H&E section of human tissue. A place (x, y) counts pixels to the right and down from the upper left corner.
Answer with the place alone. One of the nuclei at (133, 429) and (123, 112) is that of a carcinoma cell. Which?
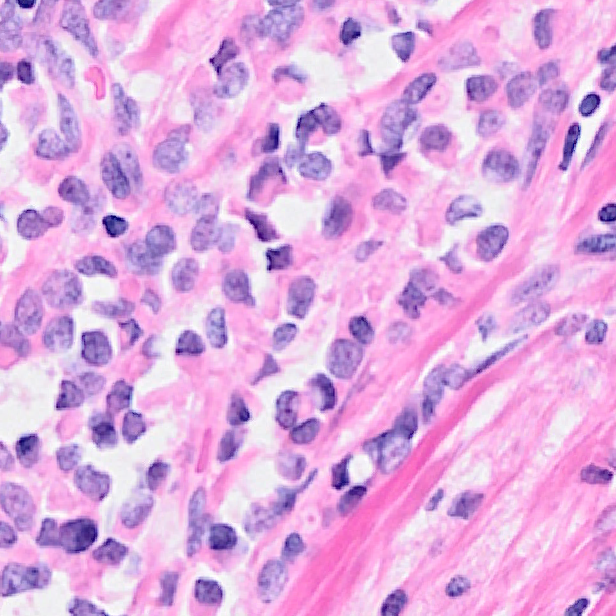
(133, 429)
